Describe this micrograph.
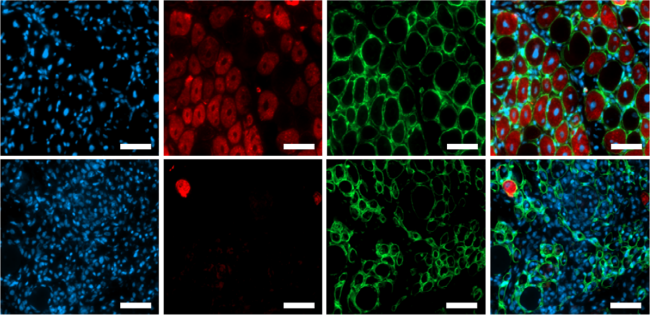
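Cross sections of regenerating skeletal muscle in fluorescence, with green rings outlining round fibre profiles and blue nuclei throughout. In one row many small fibres are filled with red, often with a central blue nucleus, inside the green rings. In the other row red fibres are nearly absent and the tissue is densely crowded with blue nuclei between irregular green outlines.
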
